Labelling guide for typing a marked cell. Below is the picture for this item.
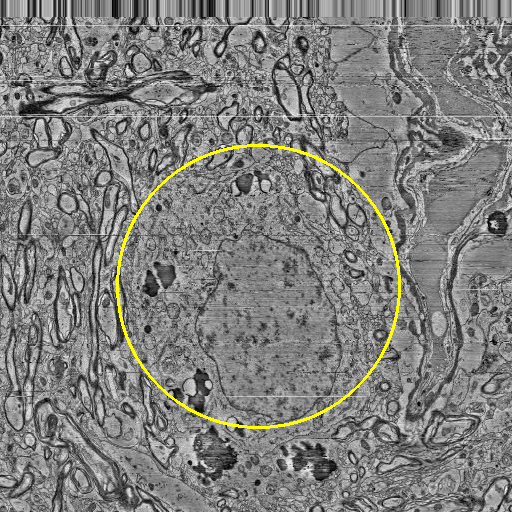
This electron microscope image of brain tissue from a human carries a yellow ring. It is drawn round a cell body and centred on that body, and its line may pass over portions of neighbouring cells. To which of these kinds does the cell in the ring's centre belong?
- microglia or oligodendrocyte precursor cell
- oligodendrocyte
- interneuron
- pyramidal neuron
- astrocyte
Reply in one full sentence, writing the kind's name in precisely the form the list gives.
Here we have a pyramidal neuron at the centre of the yellow ring in the picture.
